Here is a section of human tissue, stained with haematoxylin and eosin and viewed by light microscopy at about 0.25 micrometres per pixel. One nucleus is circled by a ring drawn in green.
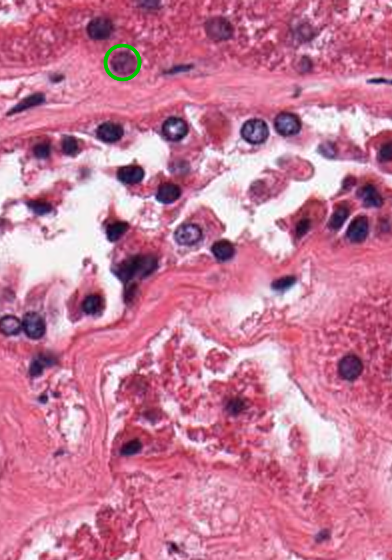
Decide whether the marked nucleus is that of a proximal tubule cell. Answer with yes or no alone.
yes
